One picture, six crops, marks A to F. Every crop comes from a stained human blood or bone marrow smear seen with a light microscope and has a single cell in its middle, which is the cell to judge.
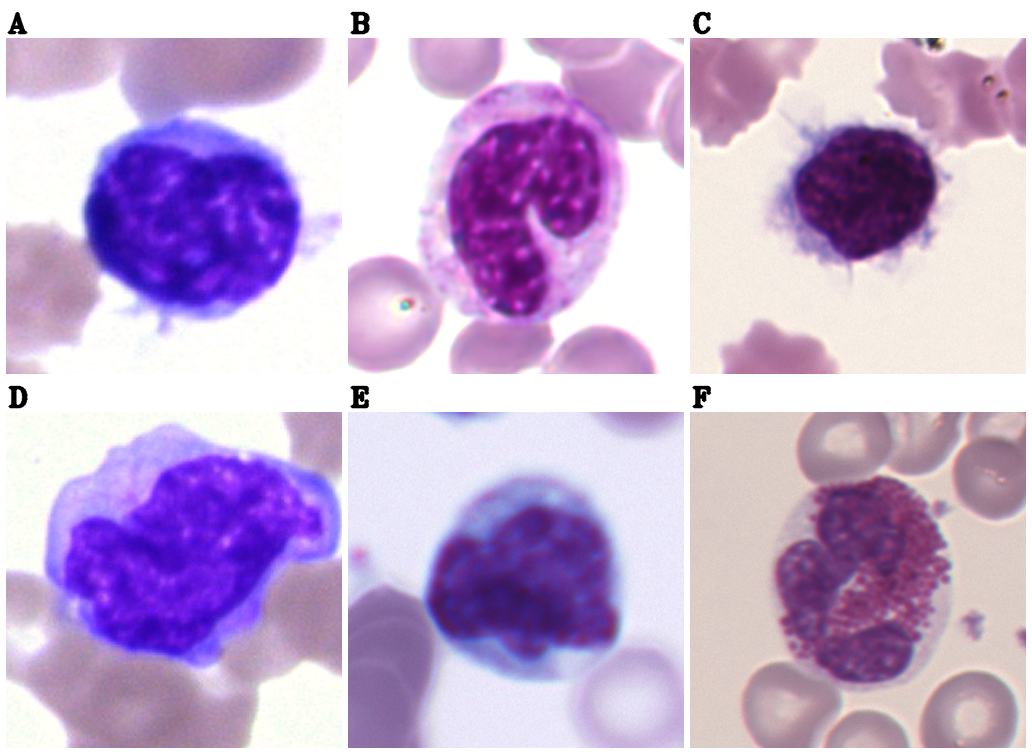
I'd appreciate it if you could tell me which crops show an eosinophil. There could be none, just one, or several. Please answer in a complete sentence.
Of the central cells across all crops, only that of crop F is an eosinophil.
